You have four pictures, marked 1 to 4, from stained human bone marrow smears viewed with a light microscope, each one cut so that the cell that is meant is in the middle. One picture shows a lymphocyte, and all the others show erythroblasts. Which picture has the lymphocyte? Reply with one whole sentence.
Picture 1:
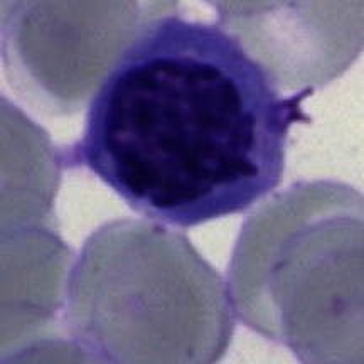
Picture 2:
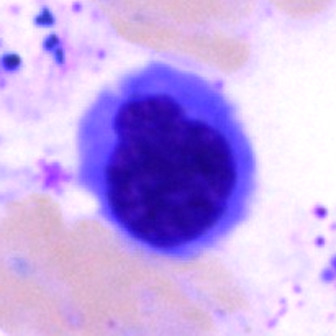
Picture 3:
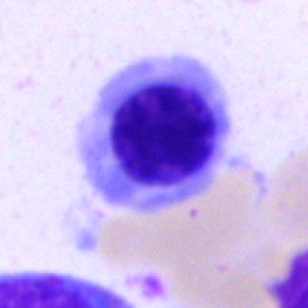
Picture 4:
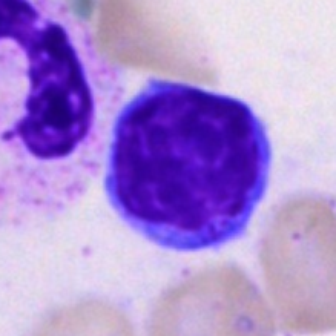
The cell in picture 4 is the lymphocyte.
